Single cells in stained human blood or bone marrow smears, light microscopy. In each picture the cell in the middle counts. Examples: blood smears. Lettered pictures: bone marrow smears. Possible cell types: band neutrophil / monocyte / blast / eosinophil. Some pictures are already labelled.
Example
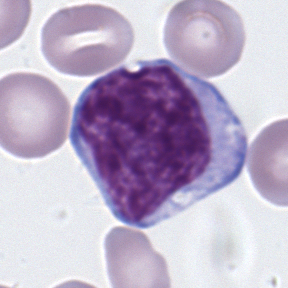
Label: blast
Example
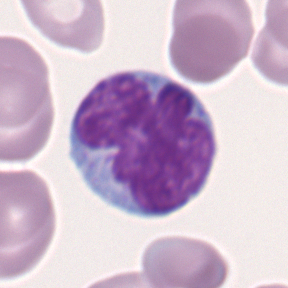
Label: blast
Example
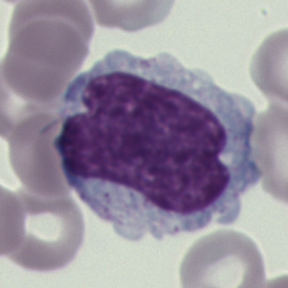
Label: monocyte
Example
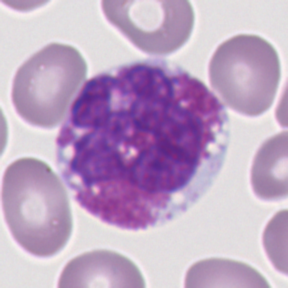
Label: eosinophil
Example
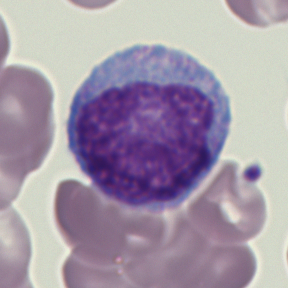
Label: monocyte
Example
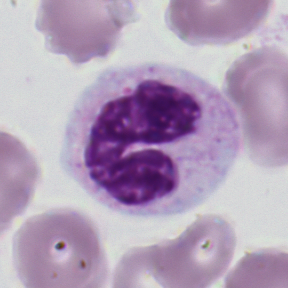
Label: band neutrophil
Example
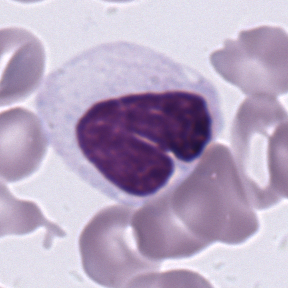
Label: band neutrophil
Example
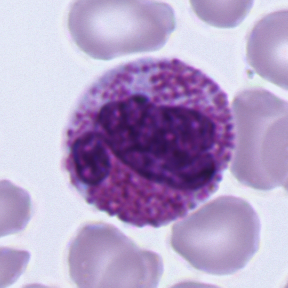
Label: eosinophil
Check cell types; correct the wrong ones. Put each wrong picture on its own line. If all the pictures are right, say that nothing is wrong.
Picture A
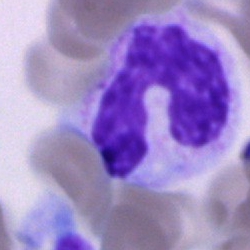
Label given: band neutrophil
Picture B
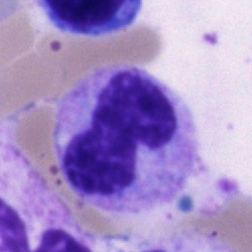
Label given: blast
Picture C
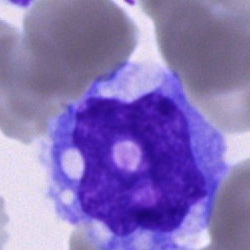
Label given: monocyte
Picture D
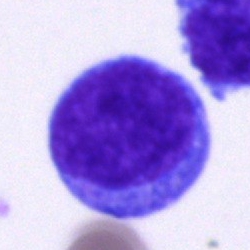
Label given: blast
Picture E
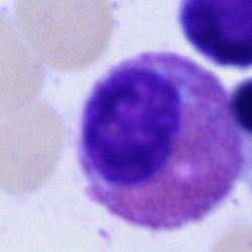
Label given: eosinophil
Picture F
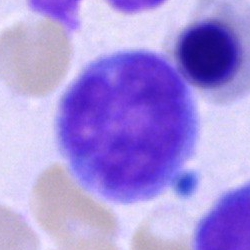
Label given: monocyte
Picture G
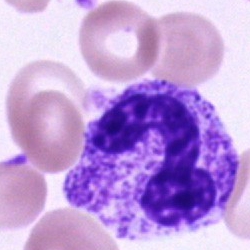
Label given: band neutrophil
B should be monocyte, not blast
